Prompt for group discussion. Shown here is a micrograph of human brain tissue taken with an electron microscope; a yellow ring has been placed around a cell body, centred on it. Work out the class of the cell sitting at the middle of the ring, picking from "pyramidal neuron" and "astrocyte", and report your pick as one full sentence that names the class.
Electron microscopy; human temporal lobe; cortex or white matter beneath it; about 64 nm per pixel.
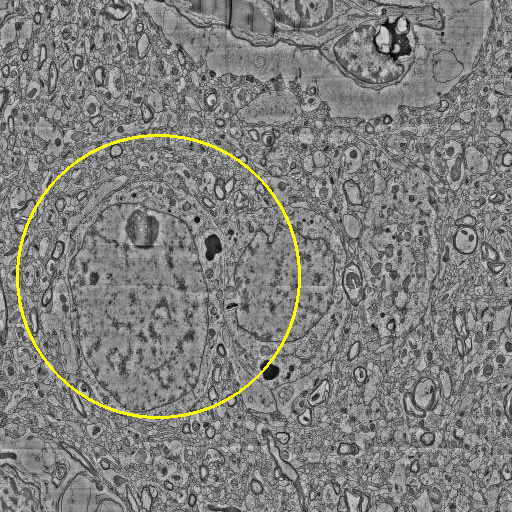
The cell sitting at the middle of the yellow ring is a pyramidal neuron.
